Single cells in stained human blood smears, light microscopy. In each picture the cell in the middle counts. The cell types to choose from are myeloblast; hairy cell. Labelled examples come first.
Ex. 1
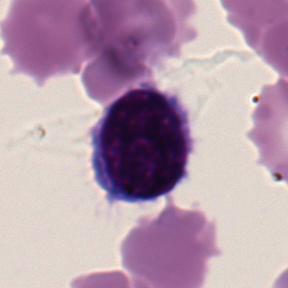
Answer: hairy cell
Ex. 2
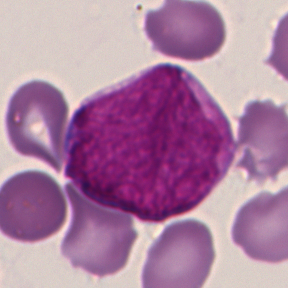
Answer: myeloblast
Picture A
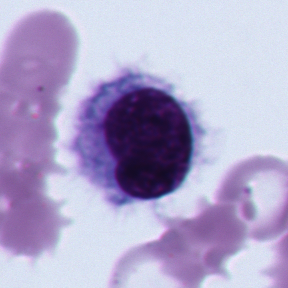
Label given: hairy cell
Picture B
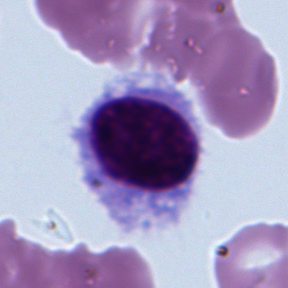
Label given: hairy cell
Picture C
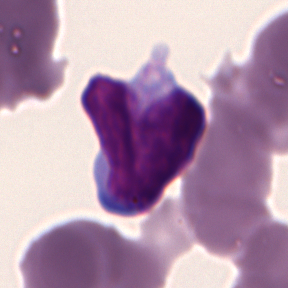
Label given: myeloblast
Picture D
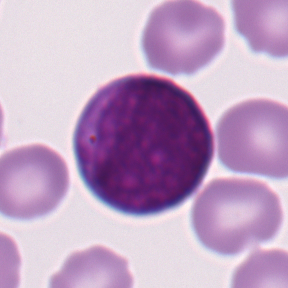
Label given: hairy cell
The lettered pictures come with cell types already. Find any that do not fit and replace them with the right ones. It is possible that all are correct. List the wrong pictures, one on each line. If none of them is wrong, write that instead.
D should be myeloblast, not hairy cell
